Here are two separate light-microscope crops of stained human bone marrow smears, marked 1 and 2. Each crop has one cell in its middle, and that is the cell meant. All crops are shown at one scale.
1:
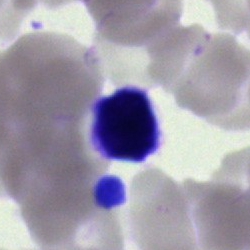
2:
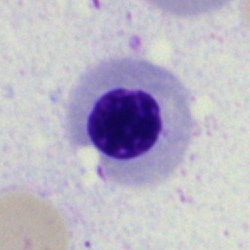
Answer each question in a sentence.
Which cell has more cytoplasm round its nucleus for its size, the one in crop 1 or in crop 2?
The nucleus fills less of the cell in crop 2 than in crop 1.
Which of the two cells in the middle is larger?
It is the cell in crop 2, about 3 times as large in area as the cell in crop 1.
